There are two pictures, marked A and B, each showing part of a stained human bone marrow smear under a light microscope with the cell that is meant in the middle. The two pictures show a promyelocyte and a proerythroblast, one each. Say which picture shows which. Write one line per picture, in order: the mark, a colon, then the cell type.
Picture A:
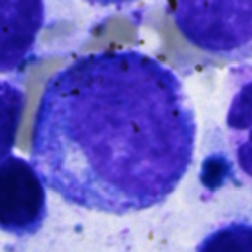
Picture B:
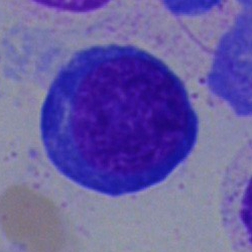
A: promyelocyte
B: proerythroblast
